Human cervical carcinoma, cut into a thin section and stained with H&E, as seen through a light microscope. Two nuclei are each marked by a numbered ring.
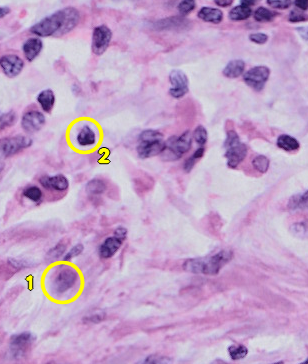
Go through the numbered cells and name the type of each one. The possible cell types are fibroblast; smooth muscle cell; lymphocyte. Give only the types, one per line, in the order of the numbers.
fibroblast
lymphocyte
